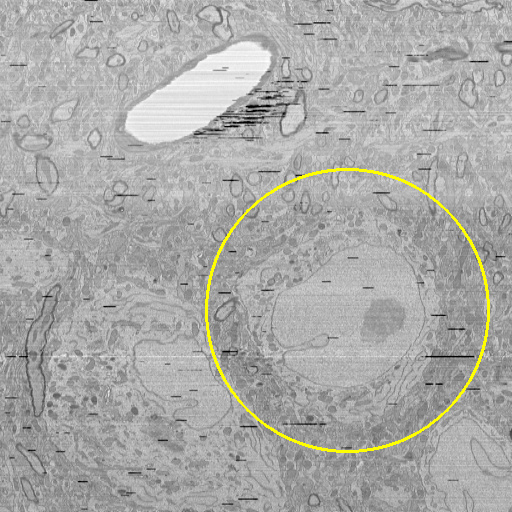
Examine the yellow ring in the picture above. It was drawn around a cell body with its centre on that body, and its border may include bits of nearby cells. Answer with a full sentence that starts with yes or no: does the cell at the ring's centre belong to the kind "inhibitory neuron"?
No, the cell at the heart of the ring shown in the image is a different kind of cell.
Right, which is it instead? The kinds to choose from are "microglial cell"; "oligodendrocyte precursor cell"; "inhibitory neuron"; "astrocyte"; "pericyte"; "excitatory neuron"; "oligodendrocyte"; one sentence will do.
The answer is that the ringed cell is an excitatory neuron.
